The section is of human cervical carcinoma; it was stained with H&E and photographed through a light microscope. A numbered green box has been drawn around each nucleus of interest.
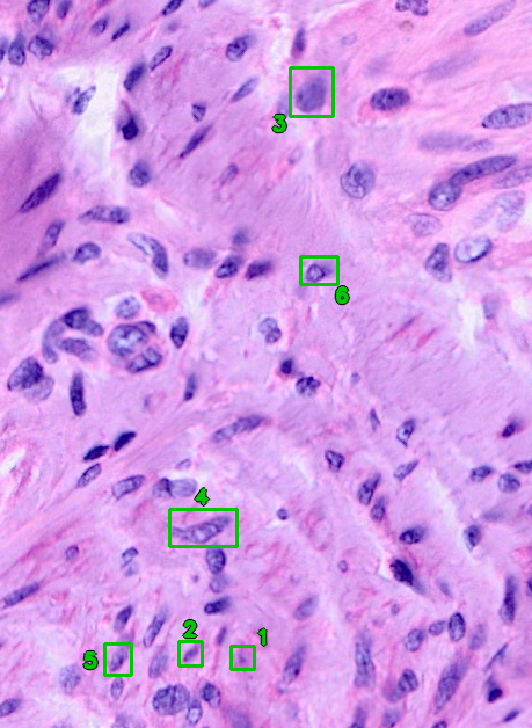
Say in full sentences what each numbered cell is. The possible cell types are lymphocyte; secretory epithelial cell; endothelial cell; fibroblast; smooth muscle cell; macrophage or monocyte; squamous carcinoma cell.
Cells 1, 2, 4 and 5 are smooth muscle cells. Cells 3 and 6 are fibroblasts.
